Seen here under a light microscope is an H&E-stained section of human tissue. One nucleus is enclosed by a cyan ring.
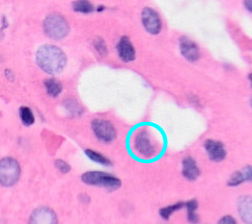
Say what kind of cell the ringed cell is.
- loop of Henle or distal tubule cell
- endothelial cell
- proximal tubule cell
loop of Henle or distal tubule cell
